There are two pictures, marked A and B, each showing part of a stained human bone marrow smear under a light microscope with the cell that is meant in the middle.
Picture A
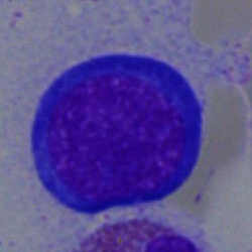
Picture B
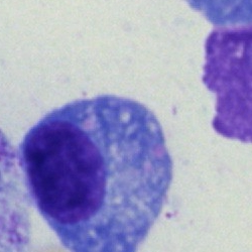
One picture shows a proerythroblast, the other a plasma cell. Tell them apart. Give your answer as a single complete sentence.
Picture B shows a plasma cell, while picture A shows a proerythroblast.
